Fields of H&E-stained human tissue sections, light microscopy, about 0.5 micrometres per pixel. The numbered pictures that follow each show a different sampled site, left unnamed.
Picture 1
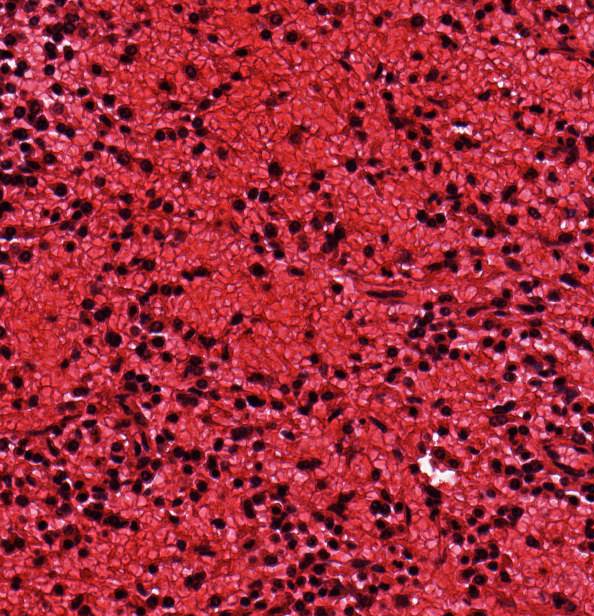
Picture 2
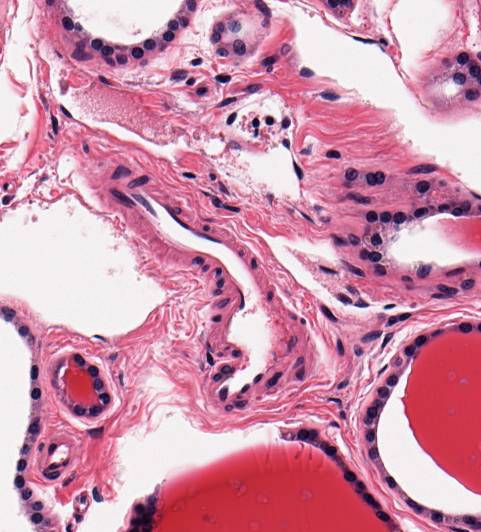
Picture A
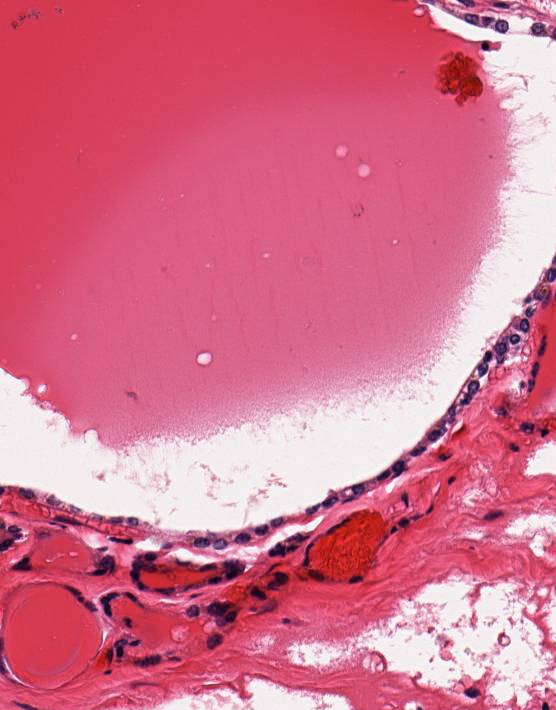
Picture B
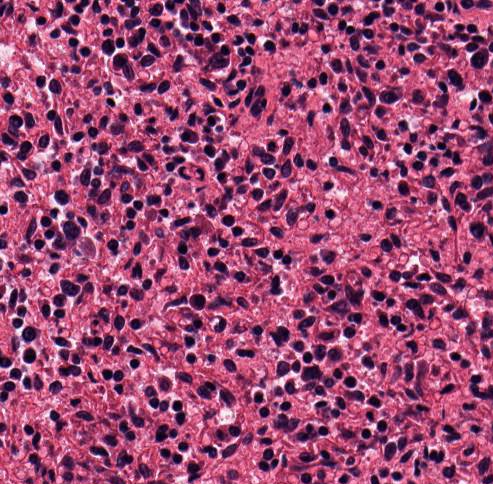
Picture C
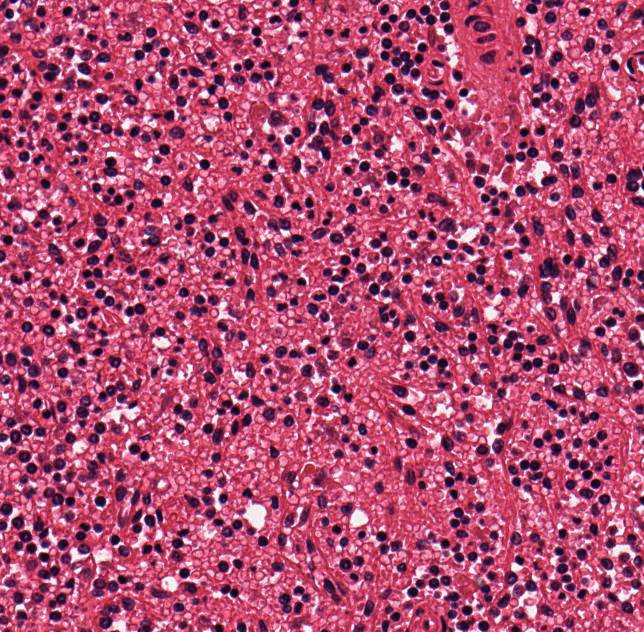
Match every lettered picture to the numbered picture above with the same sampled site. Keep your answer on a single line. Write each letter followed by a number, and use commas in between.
A 2, B 1, C 1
